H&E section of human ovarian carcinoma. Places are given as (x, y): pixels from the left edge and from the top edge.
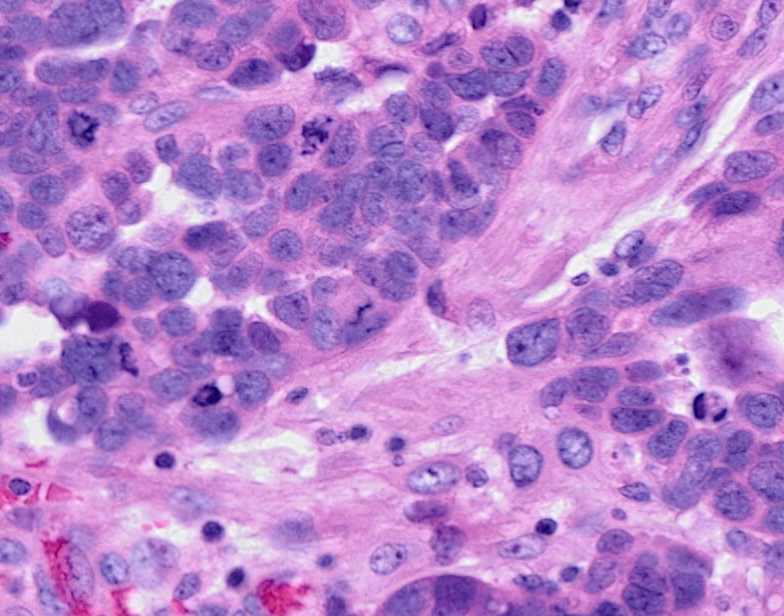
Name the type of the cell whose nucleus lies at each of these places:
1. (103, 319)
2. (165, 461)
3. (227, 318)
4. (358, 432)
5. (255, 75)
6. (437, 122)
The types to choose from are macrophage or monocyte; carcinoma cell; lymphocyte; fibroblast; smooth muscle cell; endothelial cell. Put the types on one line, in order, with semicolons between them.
carcinoma cell; lymphocyte; carcinoma cell; lymphocyte; carcinoma cell; carcinoma cell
